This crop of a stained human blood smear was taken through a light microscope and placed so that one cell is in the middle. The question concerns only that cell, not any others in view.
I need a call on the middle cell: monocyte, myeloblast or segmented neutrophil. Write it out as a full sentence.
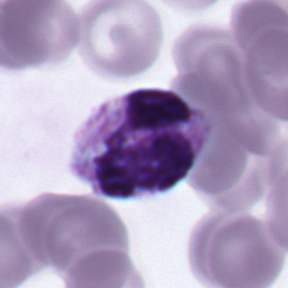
Here the cell in the middle is a segmented neutrophil.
